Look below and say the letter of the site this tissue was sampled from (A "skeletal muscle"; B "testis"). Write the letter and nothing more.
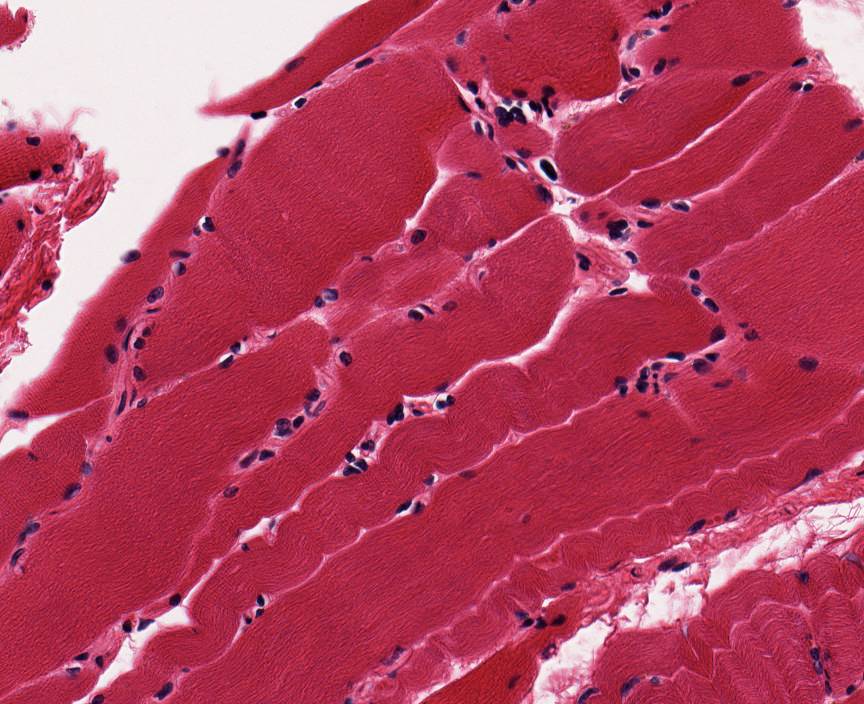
A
